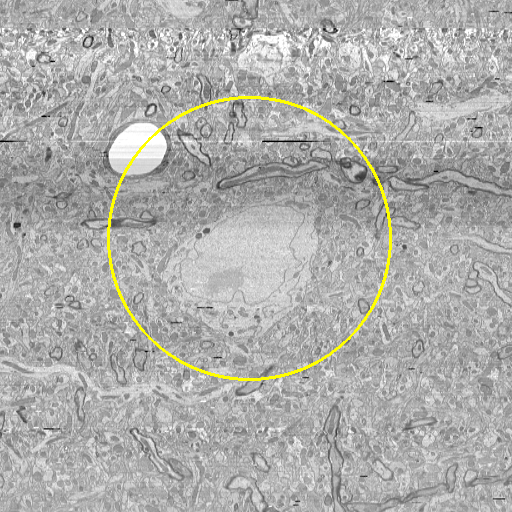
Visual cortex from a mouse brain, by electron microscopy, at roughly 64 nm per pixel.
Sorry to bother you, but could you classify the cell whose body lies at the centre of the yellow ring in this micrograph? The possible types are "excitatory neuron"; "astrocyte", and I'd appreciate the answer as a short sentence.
The ringed cell body is that of an excitatory neuron.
